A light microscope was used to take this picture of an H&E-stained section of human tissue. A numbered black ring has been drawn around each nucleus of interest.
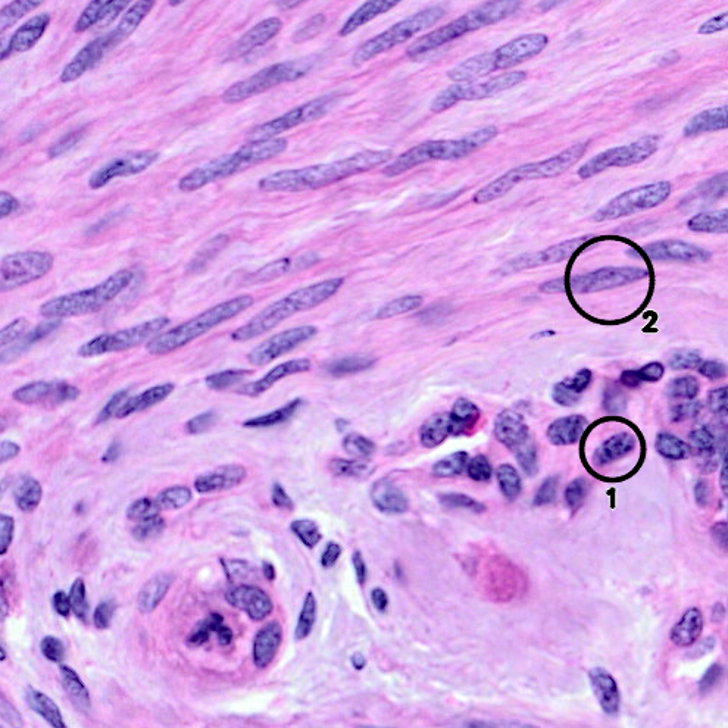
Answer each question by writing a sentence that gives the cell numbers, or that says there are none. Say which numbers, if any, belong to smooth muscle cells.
Only nucleus 2 belongs to a smooth muscle cell; the other numbered nuclei do not.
